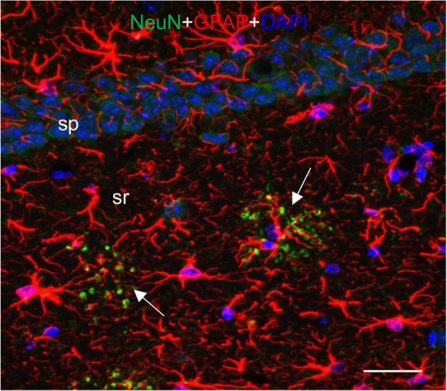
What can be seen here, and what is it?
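This is the hippocampus, with a band of tightly packed neuronal cell bodies along the top, shown by their crowded blue nuclei, and the layer beneath it where the pyramidal cells send their dendrites. Scattered through that lower layer are star-shaped astrocytes in red: each has a small body and many fine, branching processes radiating in all directions, some reaching toward the cell layer. In two places, small green dots gather into loose clusters, and red astrocyte processes reach into and around these clusters, so the glial branches lie right beside the dotted deposits.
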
